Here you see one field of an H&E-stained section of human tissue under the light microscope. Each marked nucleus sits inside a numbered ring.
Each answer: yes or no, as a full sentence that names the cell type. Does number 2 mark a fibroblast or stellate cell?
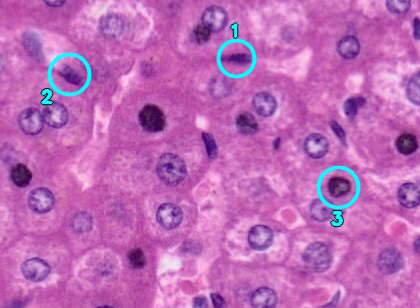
Yes, the cell that bears the number 2 is a fibroblast or stellate cell.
